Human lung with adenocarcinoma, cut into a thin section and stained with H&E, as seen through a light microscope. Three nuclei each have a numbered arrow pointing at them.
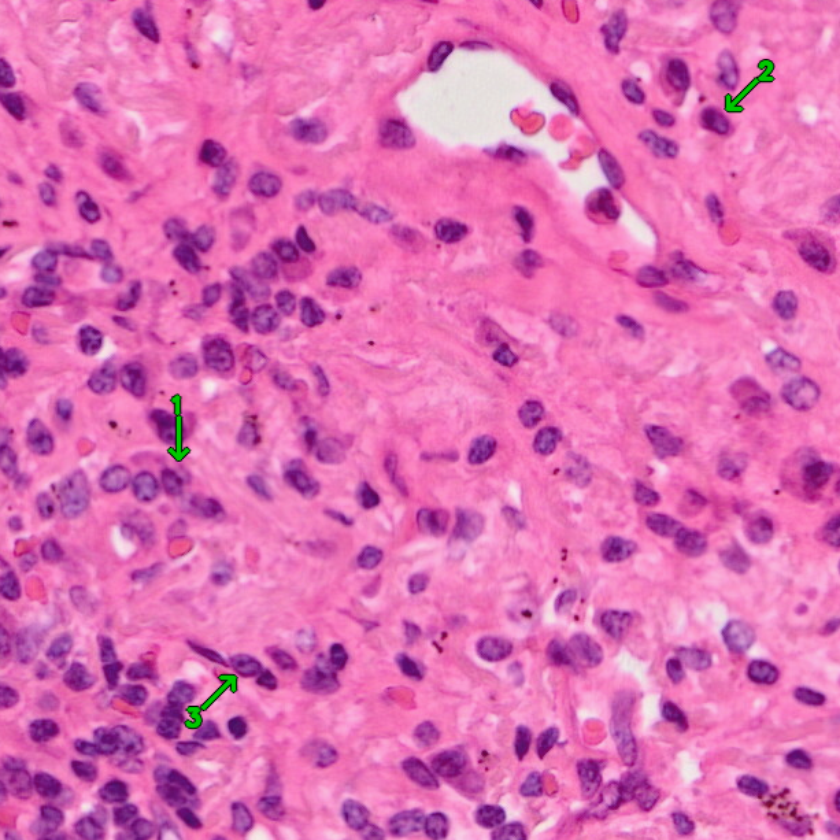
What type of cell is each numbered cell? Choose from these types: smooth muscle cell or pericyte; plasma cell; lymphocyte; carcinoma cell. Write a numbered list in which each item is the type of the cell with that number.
1. plasma cell
2. plasma cell
3. lymphocyte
